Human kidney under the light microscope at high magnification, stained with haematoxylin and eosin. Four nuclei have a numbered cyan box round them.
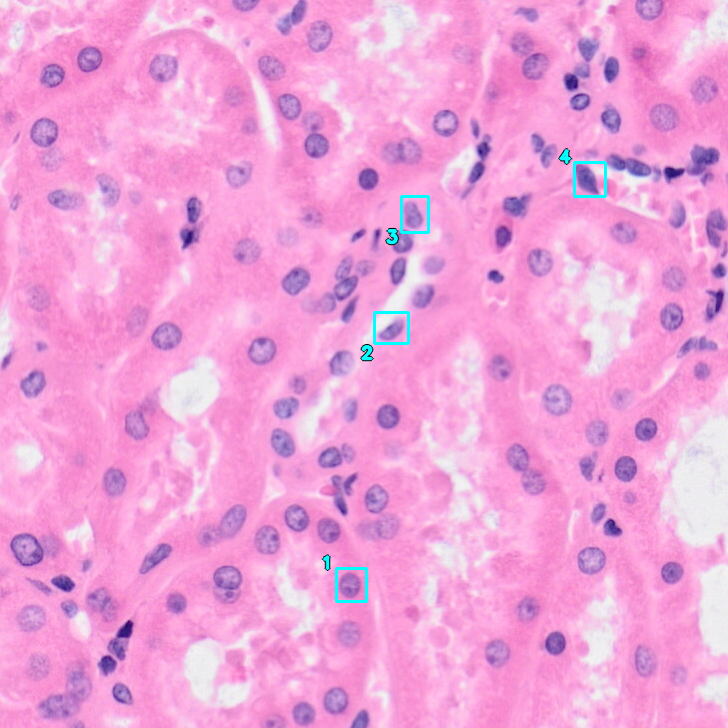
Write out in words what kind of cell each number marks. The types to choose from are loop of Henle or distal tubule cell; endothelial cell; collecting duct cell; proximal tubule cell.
Cell 1 is a proximal tubule cell, cell 2 is a collecting duct cell, cell 3 is a collecting duct cell and cell 4 is an endothelial cell.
